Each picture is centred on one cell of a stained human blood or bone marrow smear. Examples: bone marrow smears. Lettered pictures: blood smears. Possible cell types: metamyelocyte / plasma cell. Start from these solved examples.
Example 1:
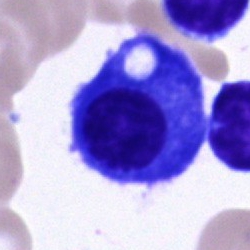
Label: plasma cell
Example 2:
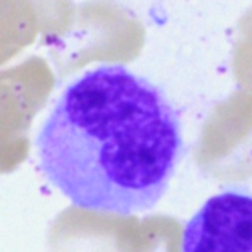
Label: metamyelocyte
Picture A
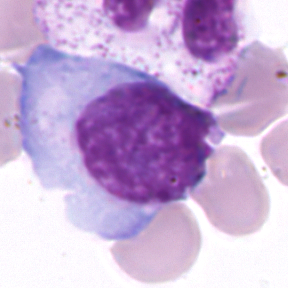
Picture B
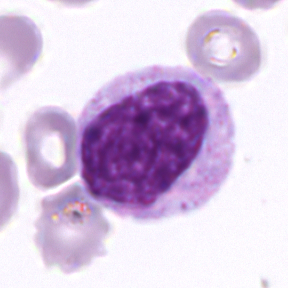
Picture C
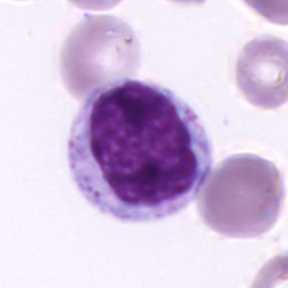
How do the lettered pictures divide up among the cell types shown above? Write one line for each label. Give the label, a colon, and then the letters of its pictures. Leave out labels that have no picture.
metamyelocyte: B, C
plasma cell: A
